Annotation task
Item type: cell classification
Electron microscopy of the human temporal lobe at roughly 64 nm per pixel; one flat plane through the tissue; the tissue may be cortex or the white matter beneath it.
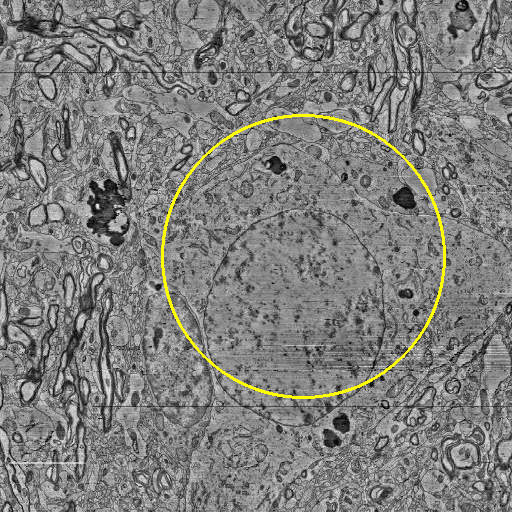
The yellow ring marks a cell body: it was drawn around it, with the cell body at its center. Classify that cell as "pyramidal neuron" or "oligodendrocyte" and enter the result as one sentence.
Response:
The ring's center falls on a pyramidal neuron.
